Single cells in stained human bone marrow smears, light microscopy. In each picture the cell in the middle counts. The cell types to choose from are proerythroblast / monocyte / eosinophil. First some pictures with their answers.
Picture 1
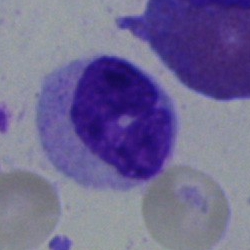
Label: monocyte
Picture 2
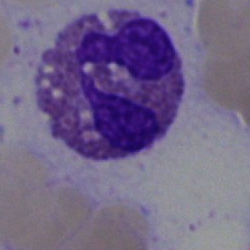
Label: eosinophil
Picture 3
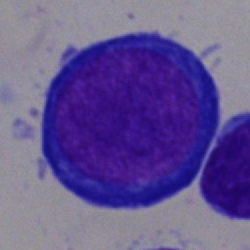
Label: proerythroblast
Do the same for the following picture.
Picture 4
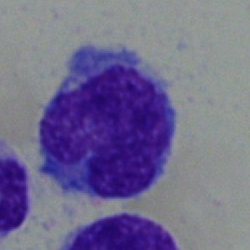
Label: monocyte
